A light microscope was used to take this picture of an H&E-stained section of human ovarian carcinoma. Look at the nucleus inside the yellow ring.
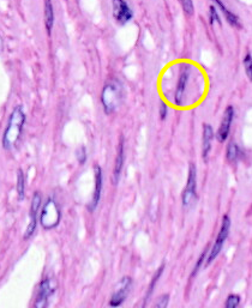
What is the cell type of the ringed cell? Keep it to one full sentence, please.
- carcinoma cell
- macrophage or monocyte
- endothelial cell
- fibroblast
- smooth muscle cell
In short, the ringed cell on this section is a fibroblast.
